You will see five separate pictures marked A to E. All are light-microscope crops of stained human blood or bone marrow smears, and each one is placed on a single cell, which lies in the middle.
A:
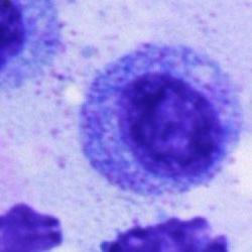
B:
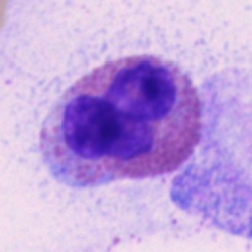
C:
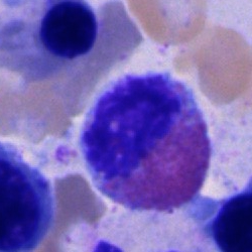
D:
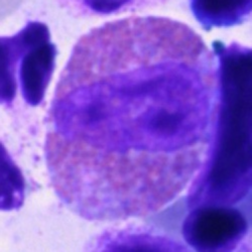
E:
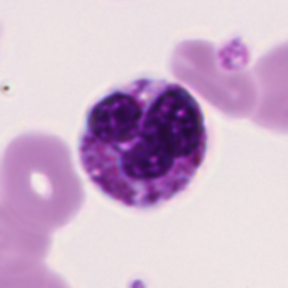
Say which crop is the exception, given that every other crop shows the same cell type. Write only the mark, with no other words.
A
